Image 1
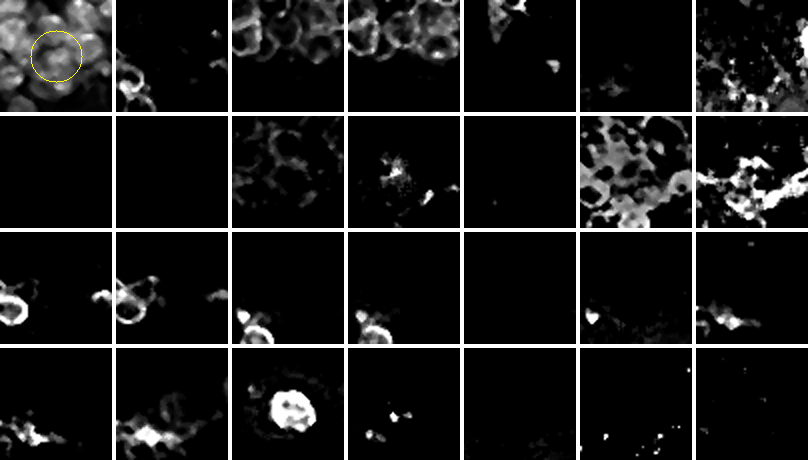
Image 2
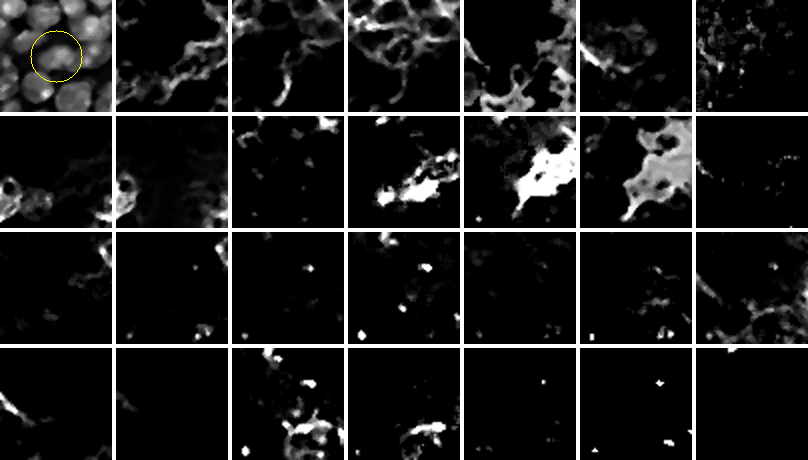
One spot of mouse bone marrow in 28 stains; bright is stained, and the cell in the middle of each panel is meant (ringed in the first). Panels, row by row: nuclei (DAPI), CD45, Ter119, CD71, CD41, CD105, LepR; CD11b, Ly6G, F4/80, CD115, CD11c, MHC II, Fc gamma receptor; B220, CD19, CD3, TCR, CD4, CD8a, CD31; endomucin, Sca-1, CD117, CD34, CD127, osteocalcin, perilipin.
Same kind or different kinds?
Different: the first is a granulocyte-monocyte progenitor, the second a conventional dendritic cell.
